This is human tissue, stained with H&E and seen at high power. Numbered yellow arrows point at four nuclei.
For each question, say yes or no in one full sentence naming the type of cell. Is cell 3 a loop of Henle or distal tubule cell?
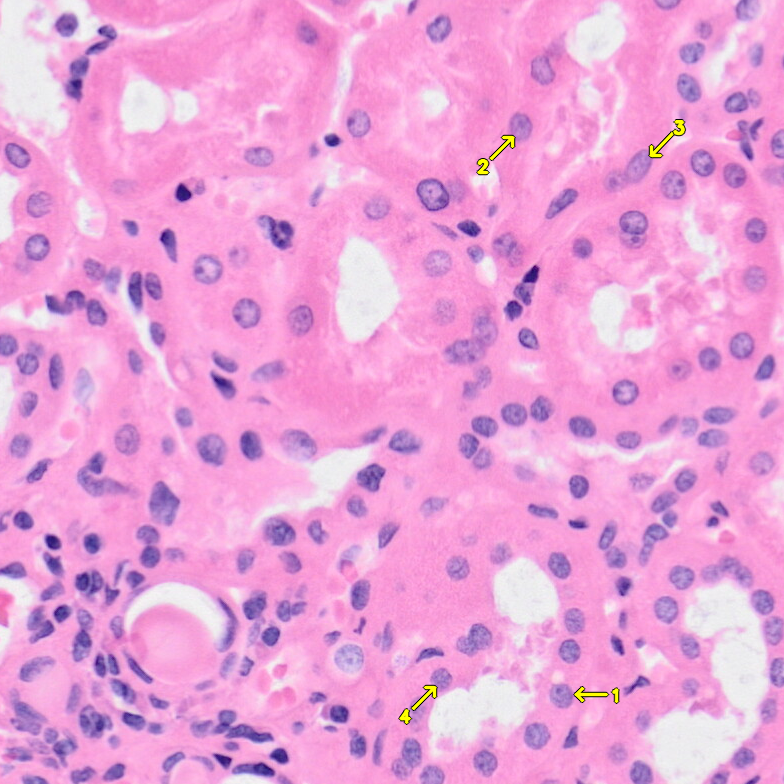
No, cell 3 is identified not as a loop of Henle or distal tubule cell but as a proximal tubule cell.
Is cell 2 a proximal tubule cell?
Yes, cell number 2 is identified here as a proximal tubule cell.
